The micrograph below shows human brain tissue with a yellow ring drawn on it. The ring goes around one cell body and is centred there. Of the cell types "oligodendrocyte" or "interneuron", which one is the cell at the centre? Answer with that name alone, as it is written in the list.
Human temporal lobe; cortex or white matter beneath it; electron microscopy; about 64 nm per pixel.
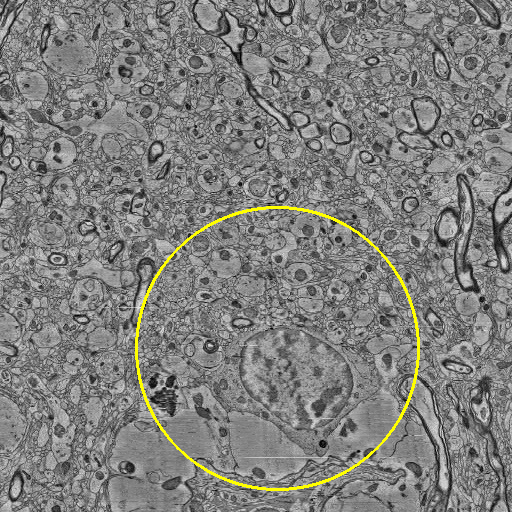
oligodendrocyte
